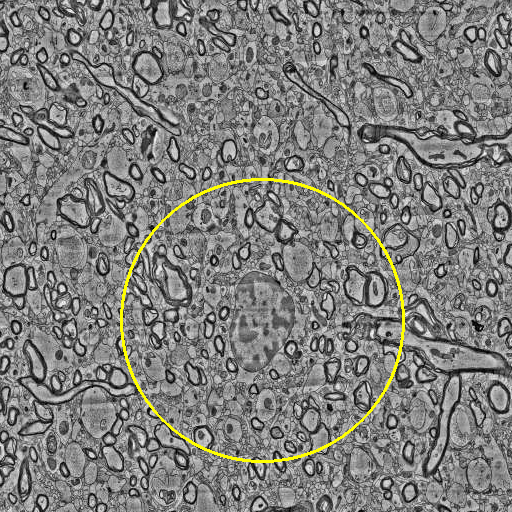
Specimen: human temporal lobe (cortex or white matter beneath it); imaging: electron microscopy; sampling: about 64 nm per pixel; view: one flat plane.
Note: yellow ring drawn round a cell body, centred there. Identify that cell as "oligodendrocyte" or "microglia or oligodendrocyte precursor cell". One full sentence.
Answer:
The cell in the middle of the ring is a microglial cell or oligodendrocyte precursor cell.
